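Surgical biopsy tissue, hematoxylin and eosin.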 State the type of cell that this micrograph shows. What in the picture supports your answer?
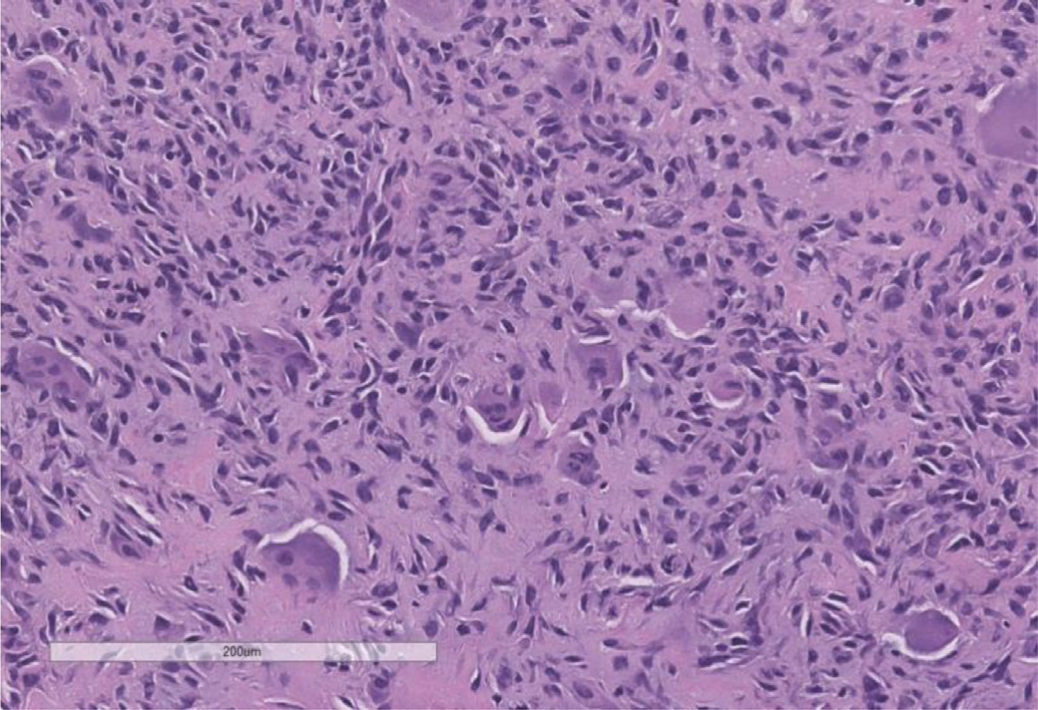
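Osteoclast-like giant cells. Scattered large cells with abundant pink cytoplasm. These large cells contain several nuclei each. Many of them are partly surrounded by clear clefts.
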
